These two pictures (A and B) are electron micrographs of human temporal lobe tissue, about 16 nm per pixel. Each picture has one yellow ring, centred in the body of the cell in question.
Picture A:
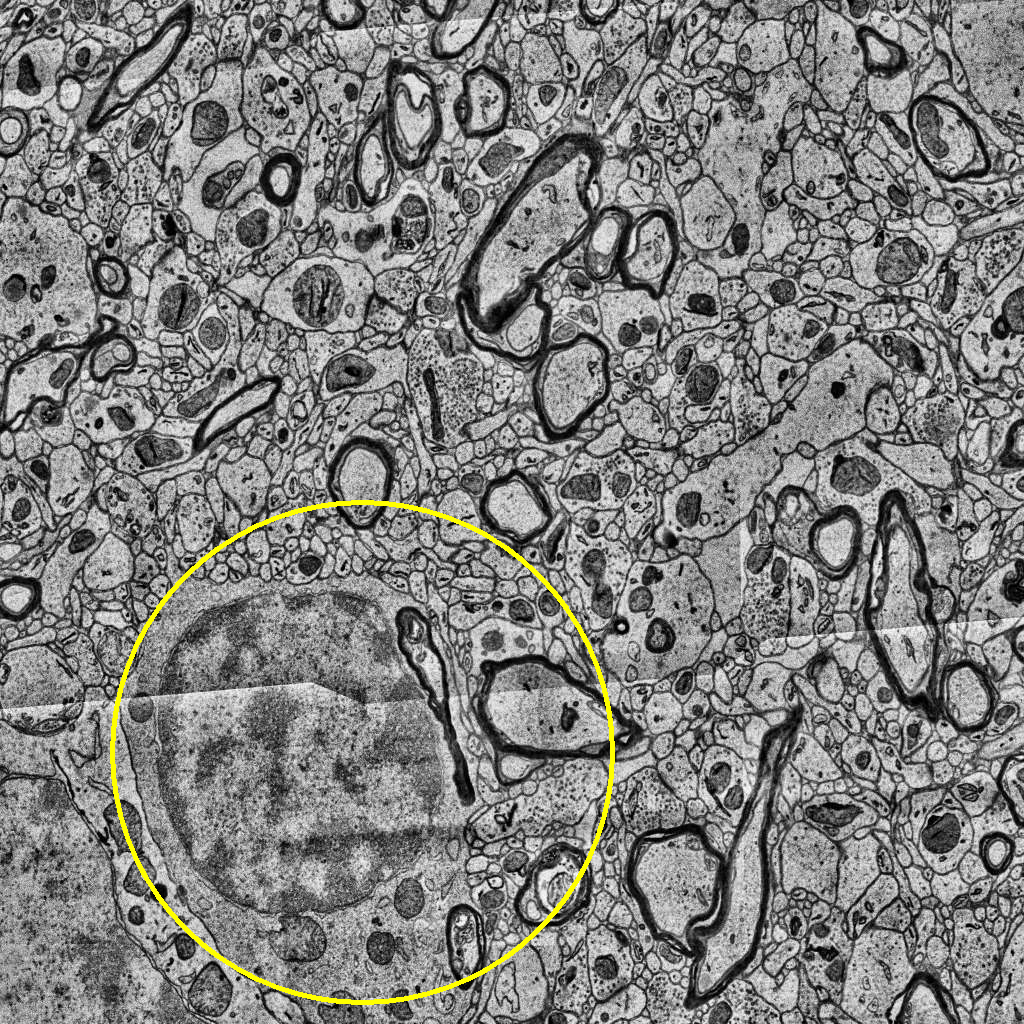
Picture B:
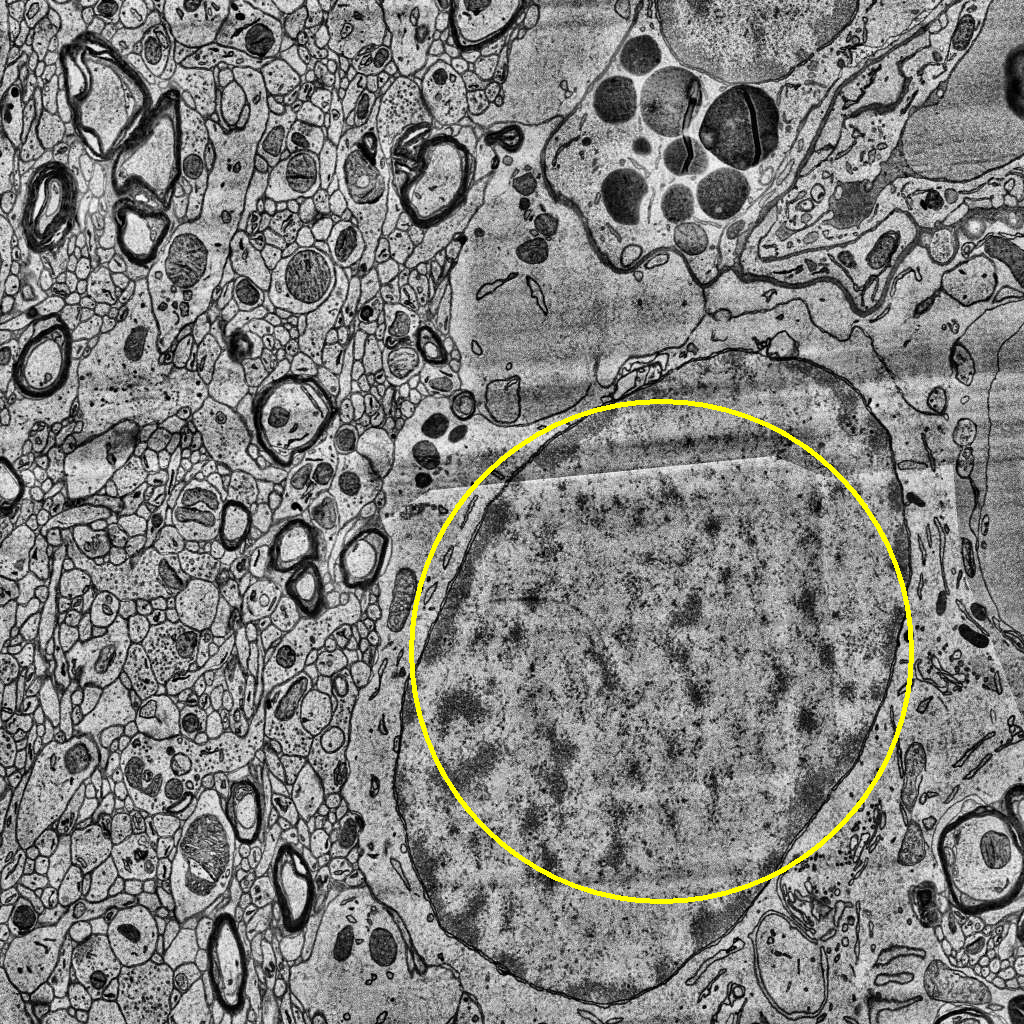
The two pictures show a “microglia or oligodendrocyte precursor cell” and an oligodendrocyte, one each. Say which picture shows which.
Picture A is of an oligodendrocyte, and picture B is of a “microglia or oligodendrocyte precursor cell”.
